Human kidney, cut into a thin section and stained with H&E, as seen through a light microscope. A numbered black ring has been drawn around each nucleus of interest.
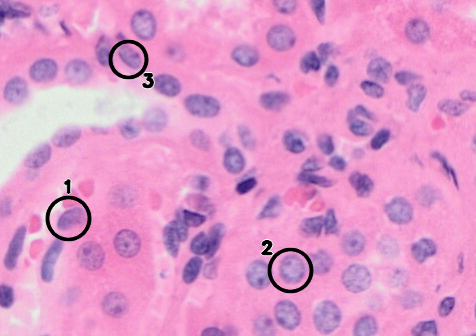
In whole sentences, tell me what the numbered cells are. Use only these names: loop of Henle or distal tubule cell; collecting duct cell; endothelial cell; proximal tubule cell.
Cell 1 is an endothelial cell, cell 2 is a loop of Henle or distal tubule cell and cell 3 is a collecting duct cell.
